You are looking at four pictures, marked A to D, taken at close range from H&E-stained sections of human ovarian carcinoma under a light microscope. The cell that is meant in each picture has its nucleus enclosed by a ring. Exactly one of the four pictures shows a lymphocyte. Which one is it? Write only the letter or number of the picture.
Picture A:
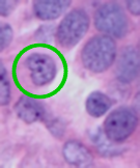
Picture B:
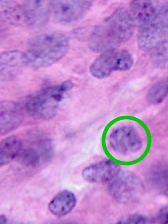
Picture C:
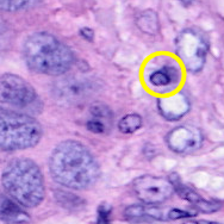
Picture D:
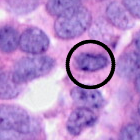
C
